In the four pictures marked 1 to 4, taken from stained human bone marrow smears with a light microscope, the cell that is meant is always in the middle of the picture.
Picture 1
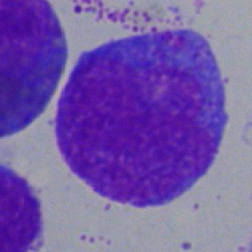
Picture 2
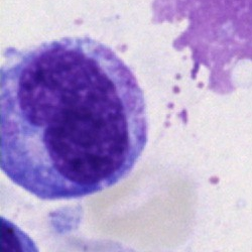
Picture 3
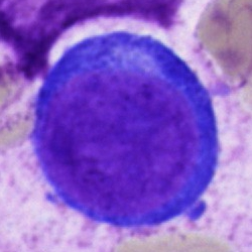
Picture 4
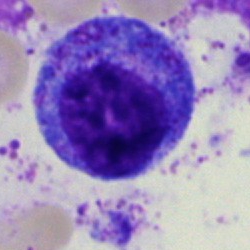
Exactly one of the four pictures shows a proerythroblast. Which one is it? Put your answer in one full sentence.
Picture 3 shows the proerythroblast.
